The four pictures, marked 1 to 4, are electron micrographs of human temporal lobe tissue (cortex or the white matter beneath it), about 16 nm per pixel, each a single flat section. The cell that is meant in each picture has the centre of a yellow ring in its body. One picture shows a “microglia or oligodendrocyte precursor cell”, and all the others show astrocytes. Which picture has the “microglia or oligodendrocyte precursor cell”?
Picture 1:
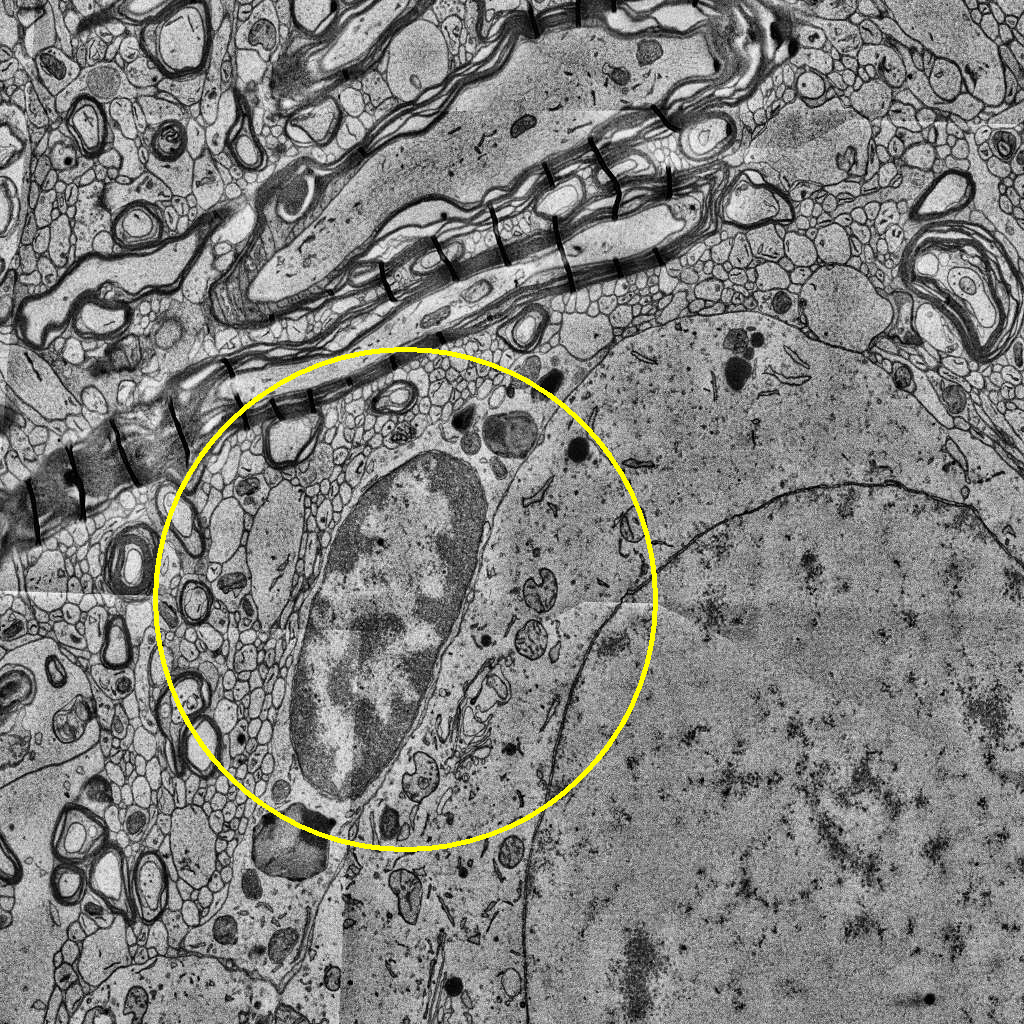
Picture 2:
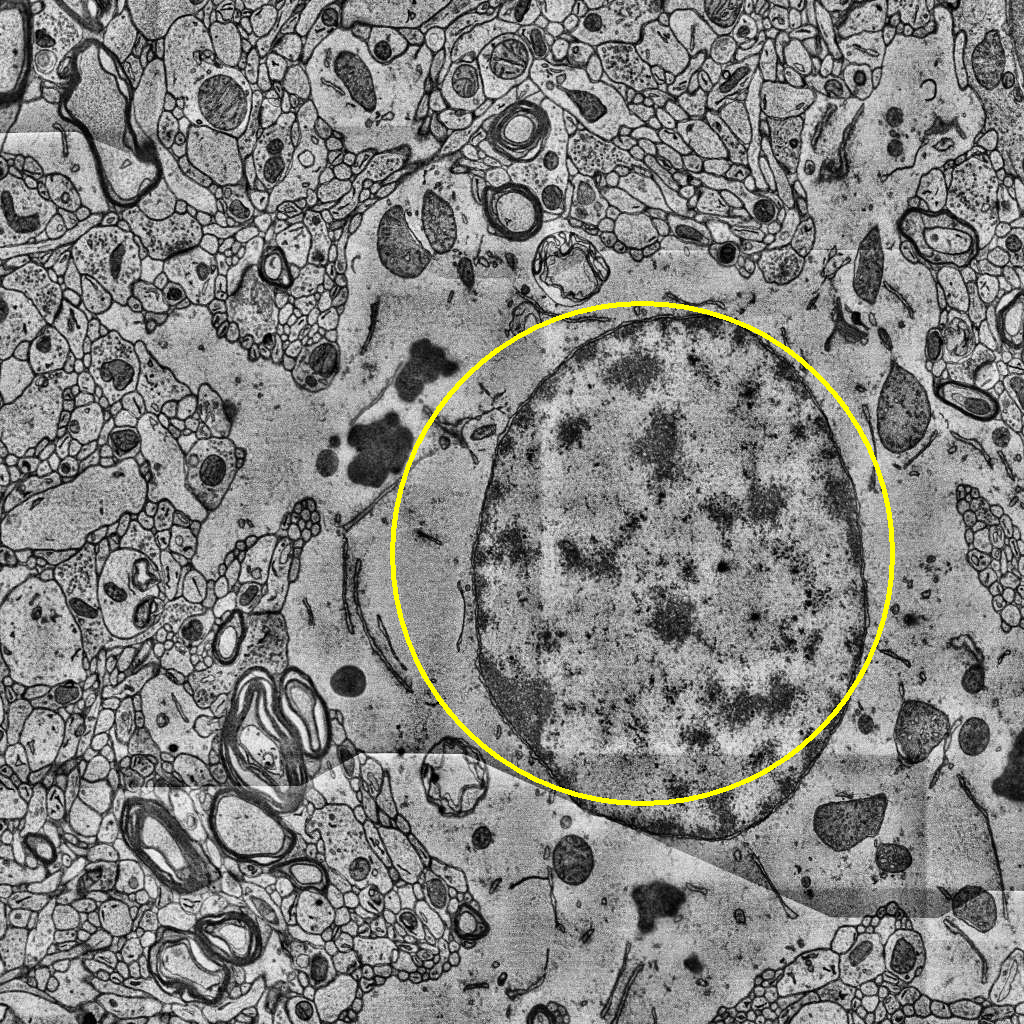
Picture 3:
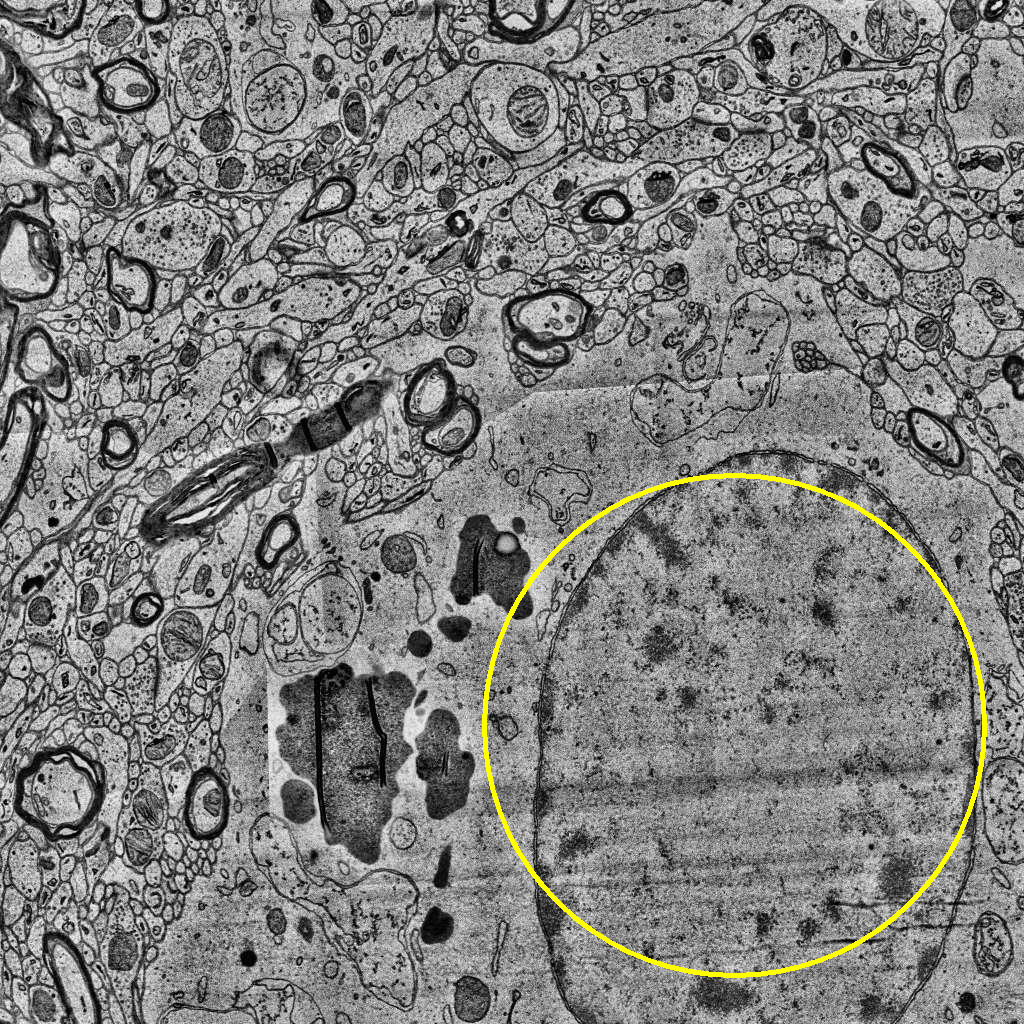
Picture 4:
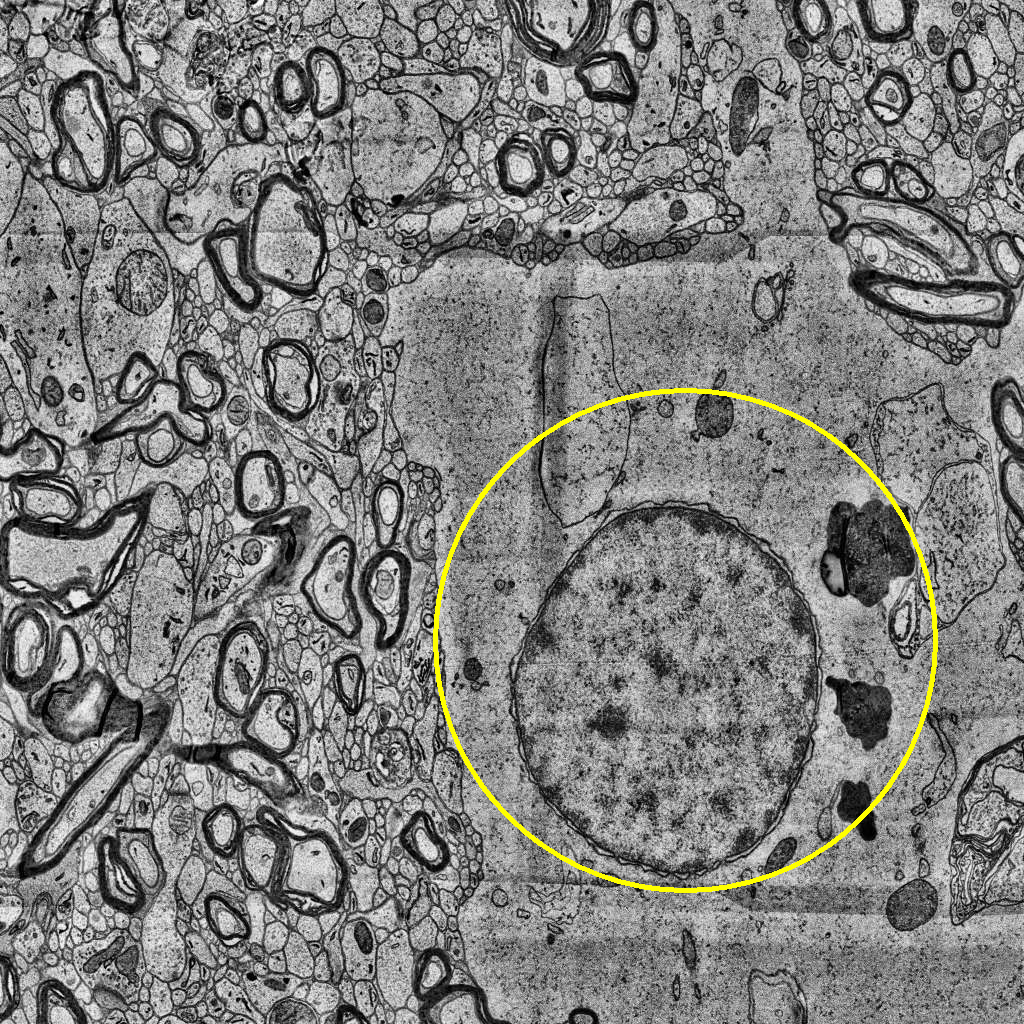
The picture with the “microglia or oligodendrocyte precursor cell” is 1.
